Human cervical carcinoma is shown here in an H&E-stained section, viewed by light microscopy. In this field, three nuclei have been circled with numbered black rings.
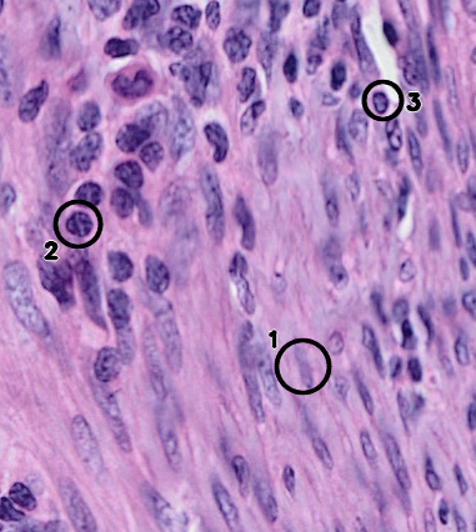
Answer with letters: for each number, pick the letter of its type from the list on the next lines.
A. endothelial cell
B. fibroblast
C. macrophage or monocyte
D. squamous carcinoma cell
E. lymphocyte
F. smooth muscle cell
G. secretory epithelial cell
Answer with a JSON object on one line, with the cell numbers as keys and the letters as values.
{"1": "F", "2": "E", "3": "E"}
